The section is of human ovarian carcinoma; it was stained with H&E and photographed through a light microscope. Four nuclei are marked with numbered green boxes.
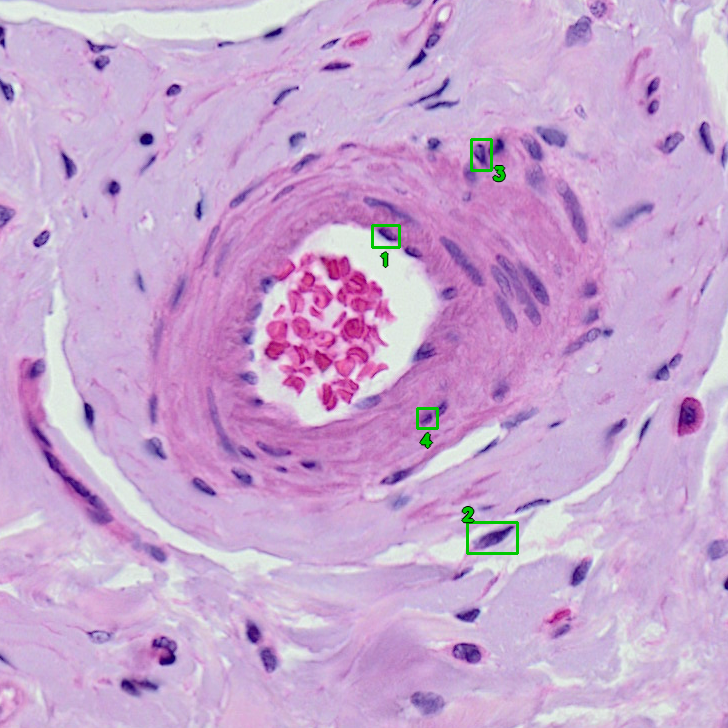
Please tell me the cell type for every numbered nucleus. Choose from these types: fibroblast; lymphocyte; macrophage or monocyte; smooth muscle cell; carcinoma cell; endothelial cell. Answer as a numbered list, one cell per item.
1. endothelial cell
2. fibroblast
3. smooth muscle cell
4. smooth muscle cell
